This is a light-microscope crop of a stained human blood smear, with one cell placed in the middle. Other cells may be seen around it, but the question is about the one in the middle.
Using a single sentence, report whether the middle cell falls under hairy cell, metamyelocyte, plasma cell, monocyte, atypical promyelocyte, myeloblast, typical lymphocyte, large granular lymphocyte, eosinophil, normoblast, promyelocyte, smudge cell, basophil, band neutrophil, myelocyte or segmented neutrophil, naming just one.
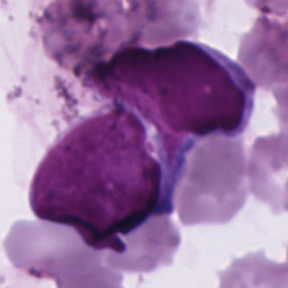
The cell in the exact centre of the crop is a myeloblast.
